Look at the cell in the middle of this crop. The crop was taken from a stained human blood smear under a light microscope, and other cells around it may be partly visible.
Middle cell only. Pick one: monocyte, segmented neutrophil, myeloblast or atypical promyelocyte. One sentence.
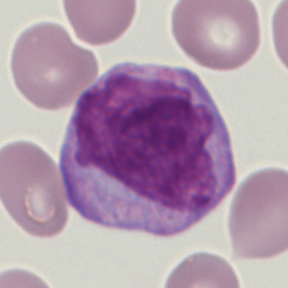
The cell of interest, in the center, is an atypical promyelocyte.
